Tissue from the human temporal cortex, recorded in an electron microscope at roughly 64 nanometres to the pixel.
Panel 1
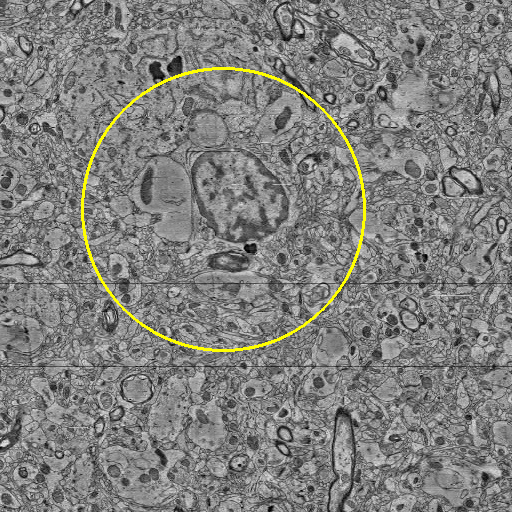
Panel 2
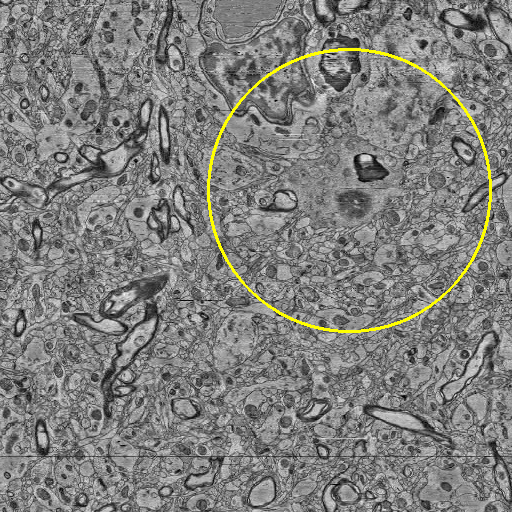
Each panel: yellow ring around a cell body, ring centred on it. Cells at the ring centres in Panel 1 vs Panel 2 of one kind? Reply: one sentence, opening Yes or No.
No, Panel 1 and Panel 2 have cells of two kinds at the ring centres.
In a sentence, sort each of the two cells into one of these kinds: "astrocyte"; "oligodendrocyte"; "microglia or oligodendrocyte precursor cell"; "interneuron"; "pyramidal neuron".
The first of the two cells is a microglial cell or oligodendrocyte precursor cell, and the second is an oligodendrocyte.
